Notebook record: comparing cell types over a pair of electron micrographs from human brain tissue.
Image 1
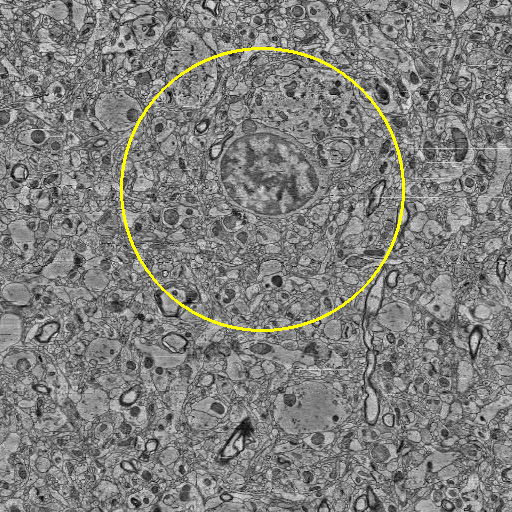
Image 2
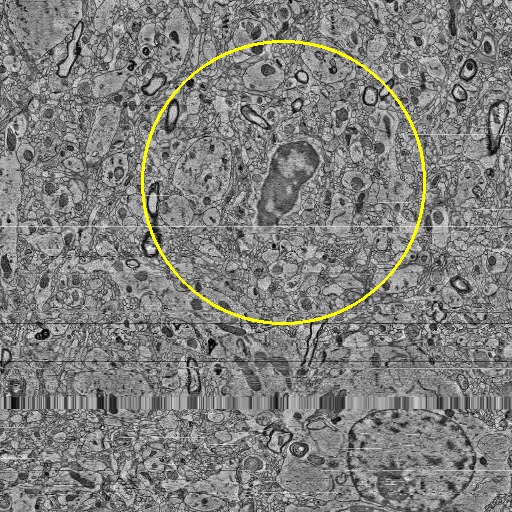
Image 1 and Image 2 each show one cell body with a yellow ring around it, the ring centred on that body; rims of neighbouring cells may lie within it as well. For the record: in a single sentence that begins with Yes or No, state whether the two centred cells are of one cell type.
No, two cell types are found among the centred cells of Image 1 and Image 2.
